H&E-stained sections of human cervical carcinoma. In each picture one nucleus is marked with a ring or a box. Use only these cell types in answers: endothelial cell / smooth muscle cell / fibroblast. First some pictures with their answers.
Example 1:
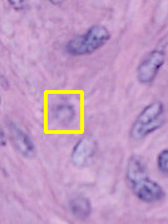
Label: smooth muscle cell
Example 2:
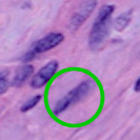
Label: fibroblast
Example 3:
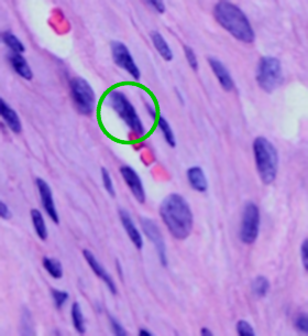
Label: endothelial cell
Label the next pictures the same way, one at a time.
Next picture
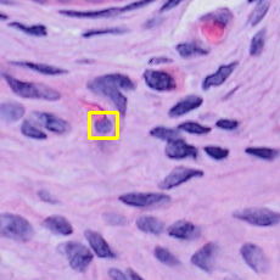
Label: endothelial cell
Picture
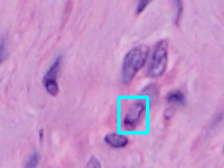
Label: endothelial cell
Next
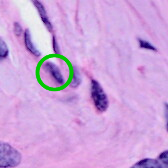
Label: endothelial cell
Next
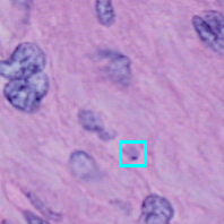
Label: smooth muscle cell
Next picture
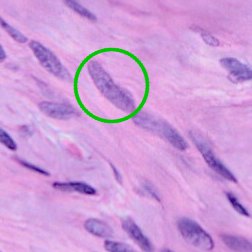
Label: fibroblast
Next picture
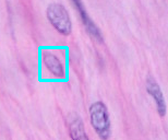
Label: smooth muscle cell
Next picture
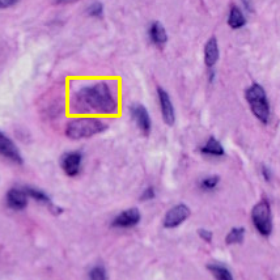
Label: endothelial cell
